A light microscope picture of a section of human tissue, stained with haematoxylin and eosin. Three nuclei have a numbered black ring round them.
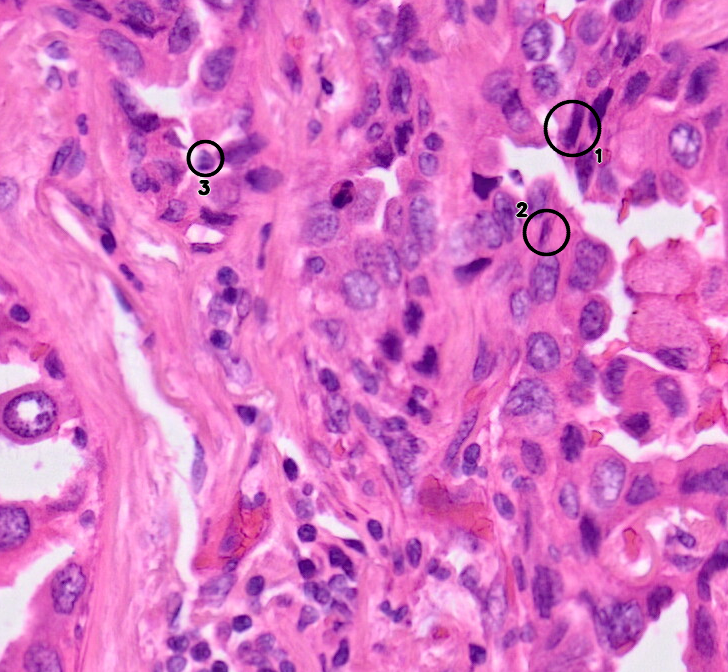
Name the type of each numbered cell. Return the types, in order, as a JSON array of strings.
["carcinoma cell", "carcinoma cell", "lymphocyte"]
